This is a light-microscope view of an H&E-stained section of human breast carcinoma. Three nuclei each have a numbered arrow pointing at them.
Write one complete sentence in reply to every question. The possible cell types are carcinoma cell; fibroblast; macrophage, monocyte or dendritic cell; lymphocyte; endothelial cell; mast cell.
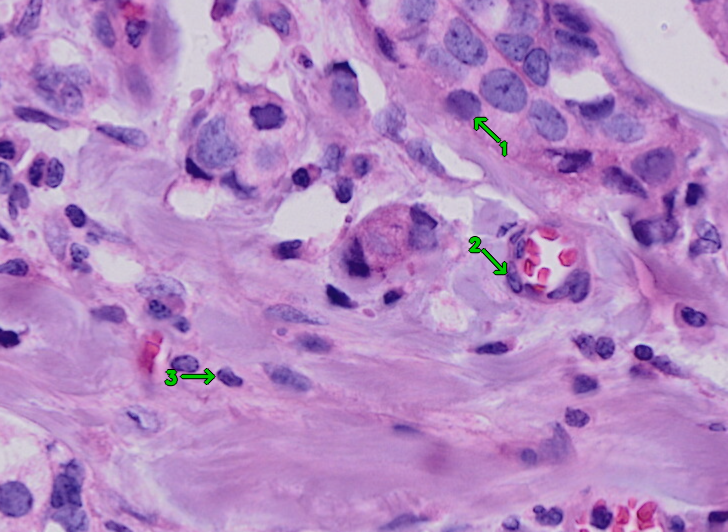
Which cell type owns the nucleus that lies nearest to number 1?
The nucleus nearest to number 1 is that of a carcinoma cell.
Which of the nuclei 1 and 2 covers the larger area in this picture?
Nucleus 1 is the larger one, covering about 3 times the area of nucleus 2.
